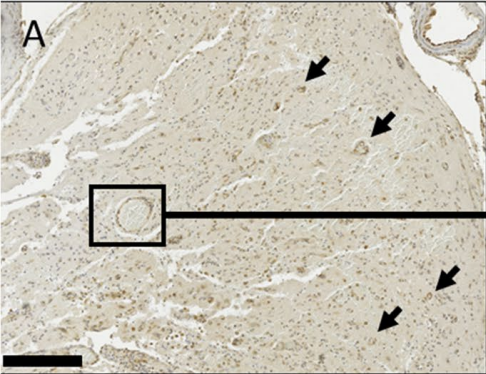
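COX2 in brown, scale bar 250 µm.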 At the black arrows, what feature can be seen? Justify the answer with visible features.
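Vessels. The arrows point to small round profiles with a central opening scattered through the tissue. The profiles have a brownish rim.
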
